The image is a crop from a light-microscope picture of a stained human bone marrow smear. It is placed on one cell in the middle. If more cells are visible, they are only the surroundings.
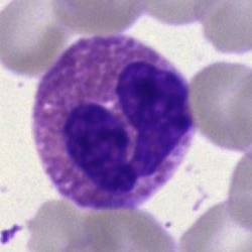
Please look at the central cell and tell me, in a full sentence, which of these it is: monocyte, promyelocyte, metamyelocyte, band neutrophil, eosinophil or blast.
This crop is built around an eosinophil at its centre.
